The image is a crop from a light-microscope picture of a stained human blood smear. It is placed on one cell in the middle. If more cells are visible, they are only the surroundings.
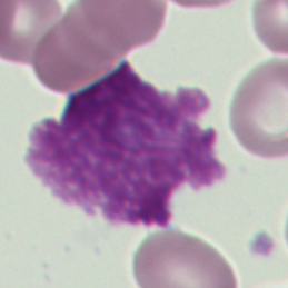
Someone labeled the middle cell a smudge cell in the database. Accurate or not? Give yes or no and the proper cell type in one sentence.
Yes, the central cell here is a smudge cell.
